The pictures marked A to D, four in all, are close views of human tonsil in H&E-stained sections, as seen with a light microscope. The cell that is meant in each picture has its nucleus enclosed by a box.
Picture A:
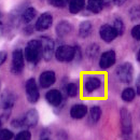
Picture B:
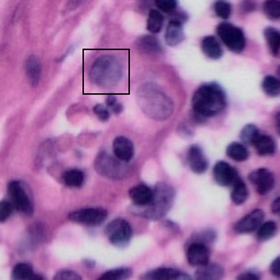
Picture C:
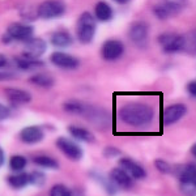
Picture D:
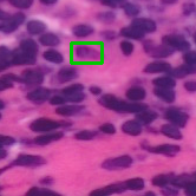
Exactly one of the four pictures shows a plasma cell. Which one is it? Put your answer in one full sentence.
The plasma cell is the one in picture A.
